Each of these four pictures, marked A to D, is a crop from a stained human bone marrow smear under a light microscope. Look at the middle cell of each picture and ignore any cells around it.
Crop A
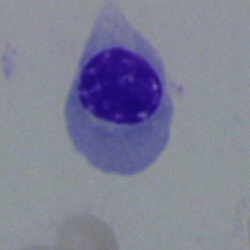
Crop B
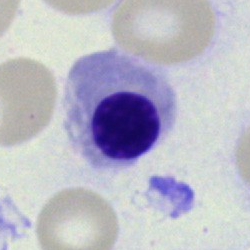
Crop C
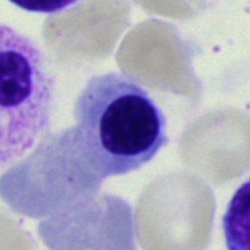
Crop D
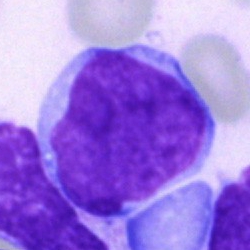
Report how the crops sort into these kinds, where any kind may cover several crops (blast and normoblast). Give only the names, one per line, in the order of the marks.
normoblast
normoblast
normoblast
blast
